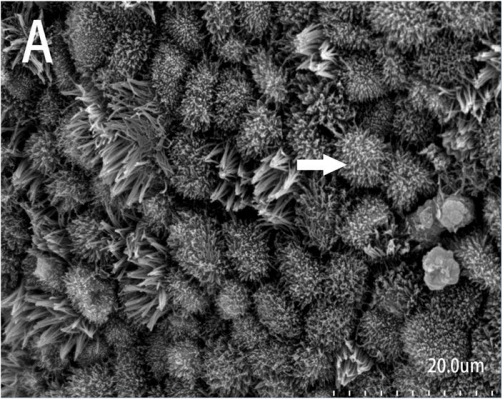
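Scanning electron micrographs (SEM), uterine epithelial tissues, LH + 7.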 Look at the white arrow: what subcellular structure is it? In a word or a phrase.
Microvilli.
